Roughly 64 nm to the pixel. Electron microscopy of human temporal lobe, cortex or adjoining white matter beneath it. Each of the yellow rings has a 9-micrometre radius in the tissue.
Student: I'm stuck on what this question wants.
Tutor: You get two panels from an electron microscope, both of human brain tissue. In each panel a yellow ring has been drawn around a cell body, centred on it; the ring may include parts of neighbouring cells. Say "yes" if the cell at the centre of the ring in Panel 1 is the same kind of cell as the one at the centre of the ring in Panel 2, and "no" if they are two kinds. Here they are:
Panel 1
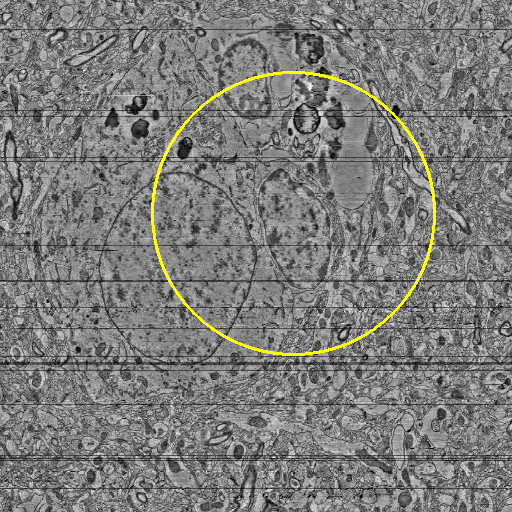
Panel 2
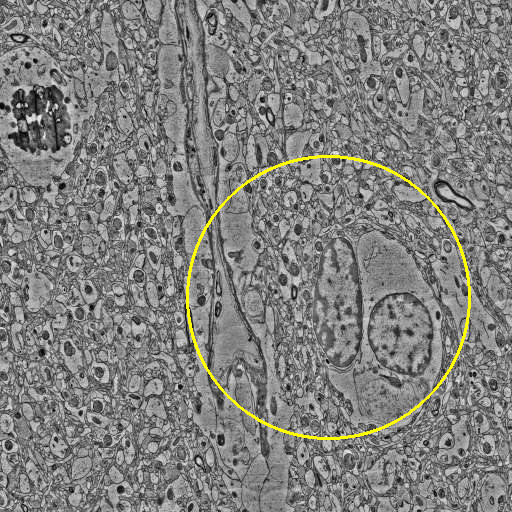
yes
